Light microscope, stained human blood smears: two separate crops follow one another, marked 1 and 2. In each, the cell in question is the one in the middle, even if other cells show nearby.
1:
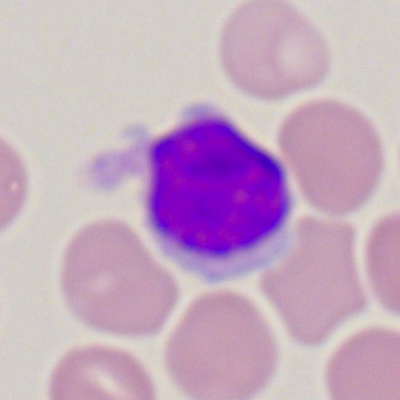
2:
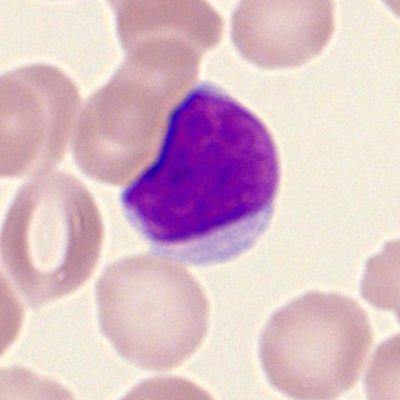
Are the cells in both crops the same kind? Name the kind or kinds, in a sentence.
Yes, both crops show a cell each, and these are lymphocytes.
